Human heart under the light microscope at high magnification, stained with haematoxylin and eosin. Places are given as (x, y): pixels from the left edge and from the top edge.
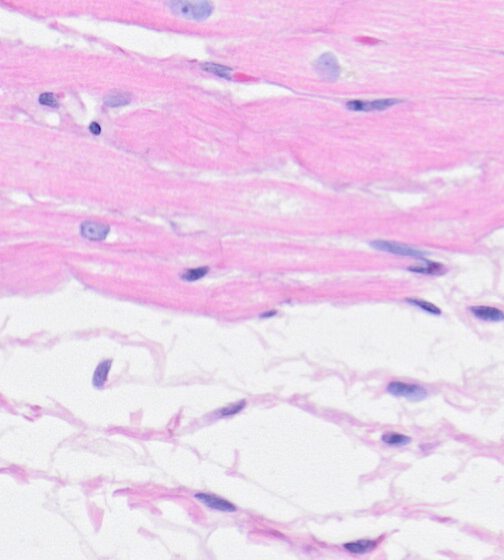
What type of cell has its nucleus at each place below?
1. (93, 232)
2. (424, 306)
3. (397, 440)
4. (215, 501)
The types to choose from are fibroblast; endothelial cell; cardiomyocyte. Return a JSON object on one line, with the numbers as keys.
{"1": "cardiomyocyte", "2": "fibroblast", "3": "fibroblast", "4": "fibroblast"}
